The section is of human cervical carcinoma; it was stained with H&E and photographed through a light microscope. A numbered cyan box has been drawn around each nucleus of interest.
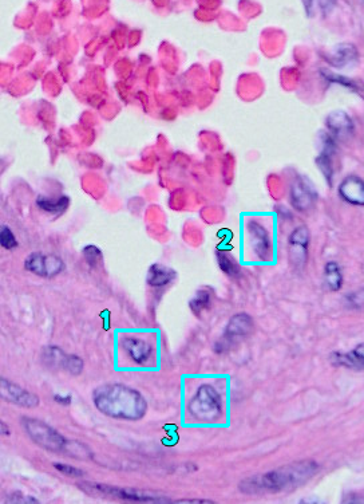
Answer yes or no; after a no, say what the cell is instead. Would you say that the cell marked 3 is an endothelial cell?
No, it is a smooth muscle cell.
